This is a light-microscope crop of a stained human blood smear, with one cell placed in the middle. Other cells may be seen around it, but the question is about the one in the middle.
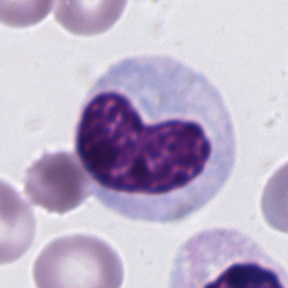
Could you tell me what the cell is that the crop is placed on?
band neutrophil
